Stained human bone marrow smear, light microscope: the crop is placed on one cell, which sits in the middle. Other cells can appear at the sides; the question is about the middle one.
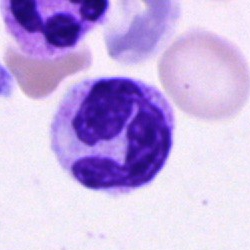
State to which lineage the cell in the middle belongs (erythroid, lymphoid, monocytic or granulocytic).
granulocytic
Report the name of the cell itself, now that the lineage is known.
segmented neutrophil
